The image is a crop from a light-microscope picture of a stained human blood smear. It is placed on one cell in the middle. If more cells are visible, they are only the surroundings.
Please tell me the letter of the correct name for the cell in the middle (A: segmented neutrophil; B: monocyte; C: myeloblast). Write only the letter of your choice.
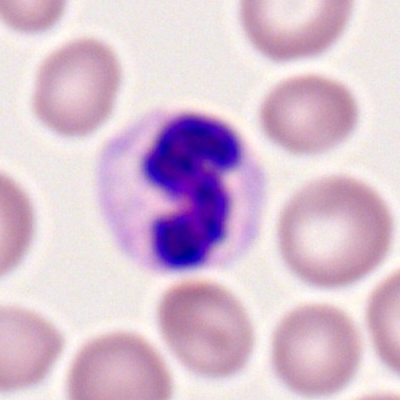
A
